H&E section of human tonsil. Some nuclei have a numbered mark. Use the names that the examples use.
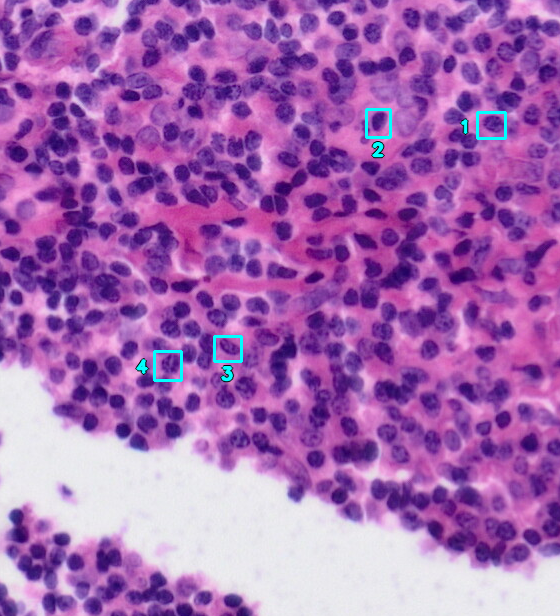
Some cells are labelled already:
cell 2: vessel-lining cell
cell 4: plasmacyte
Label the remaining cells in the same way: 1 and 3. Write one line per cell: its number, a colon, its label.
1: plasmacyte
3: plasmacyte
